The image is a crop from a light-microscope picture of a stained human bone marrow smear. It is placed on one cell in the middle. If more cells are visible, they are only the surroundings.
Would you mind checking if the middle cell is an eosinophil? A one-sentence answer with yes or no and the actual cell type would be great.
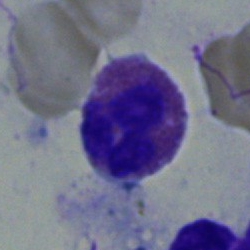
Yes, the cell of interest in the centre is an eosinophil.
